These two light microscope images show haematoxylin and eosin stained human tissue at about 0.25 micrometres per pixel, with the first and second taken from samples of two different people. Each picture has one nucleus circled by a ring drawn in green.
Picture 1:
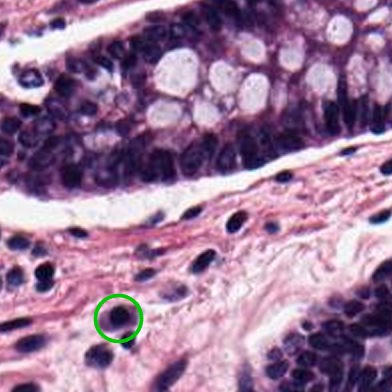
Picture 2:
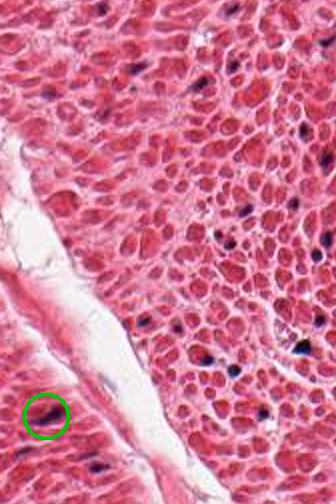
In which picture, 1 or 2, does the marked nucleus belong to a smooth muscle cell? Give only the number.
2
